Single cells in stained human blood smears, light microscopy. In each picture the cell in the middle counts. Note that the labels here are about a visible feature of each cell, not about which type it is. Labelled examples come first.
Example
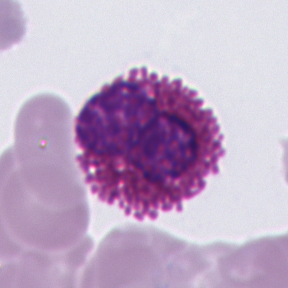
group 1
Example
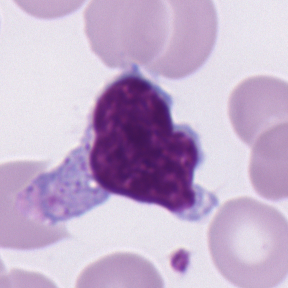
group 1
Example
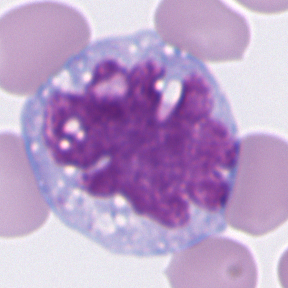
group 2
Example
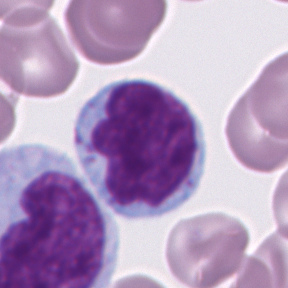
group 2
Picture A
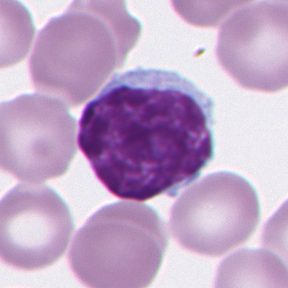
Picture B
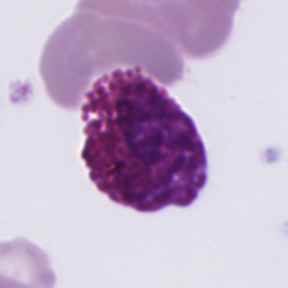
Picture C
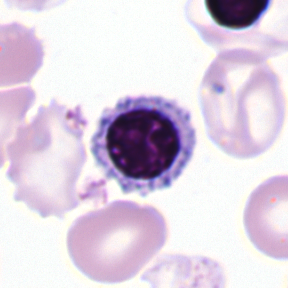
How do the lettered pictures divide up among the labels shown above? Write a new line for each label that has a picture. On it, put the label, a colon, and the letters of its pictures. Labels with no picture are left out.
group 1: A, B, C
